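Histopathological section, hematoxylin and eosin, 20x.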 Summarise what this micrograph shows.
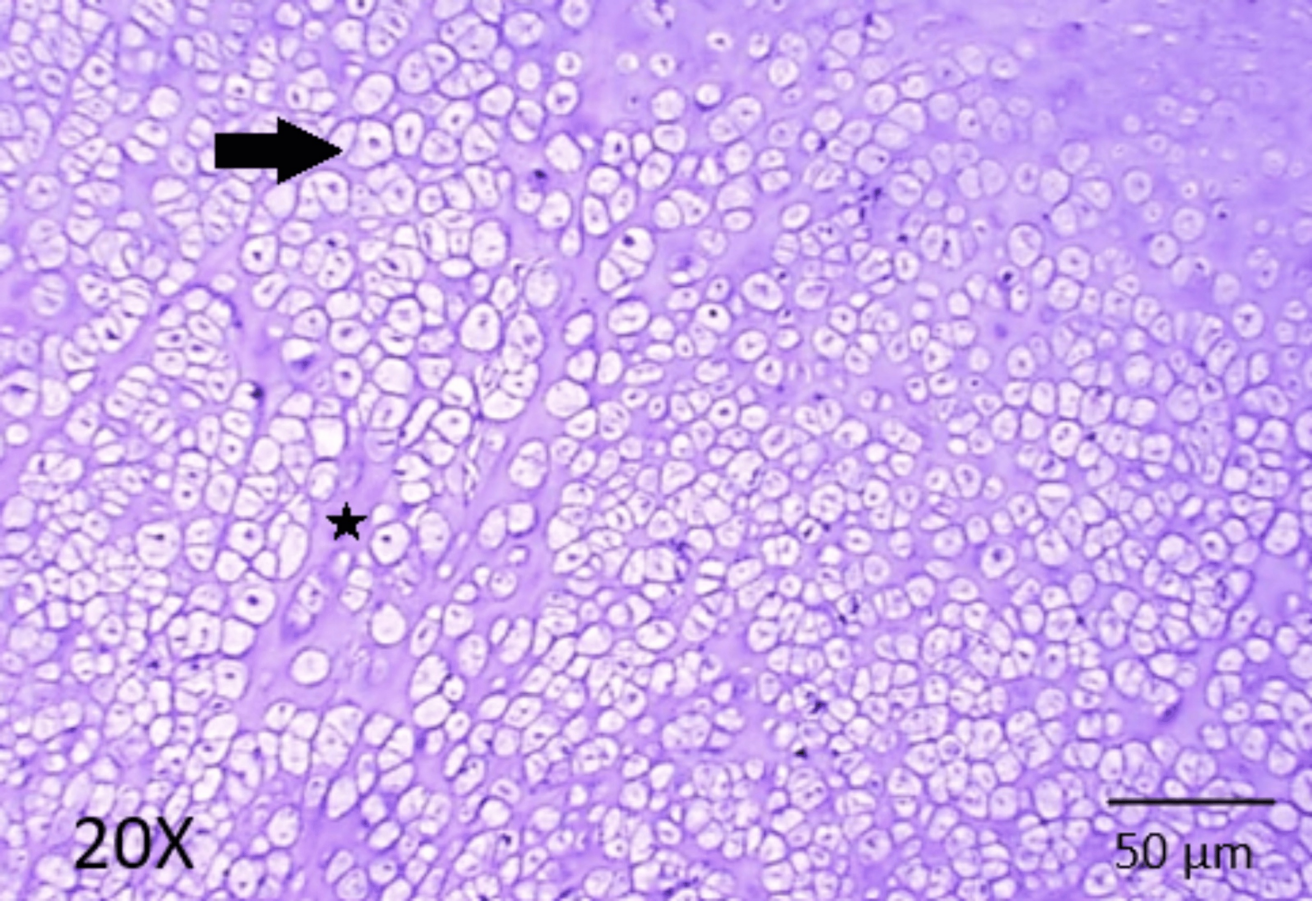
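This is a cartilaginous neoplasm made of chondrocytes. Each sits in a clear rounded space with a small dark nucleus. They are packed into lobules, and bands of homogeneous pale purple cartilaginous matrix run between the lobules.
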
